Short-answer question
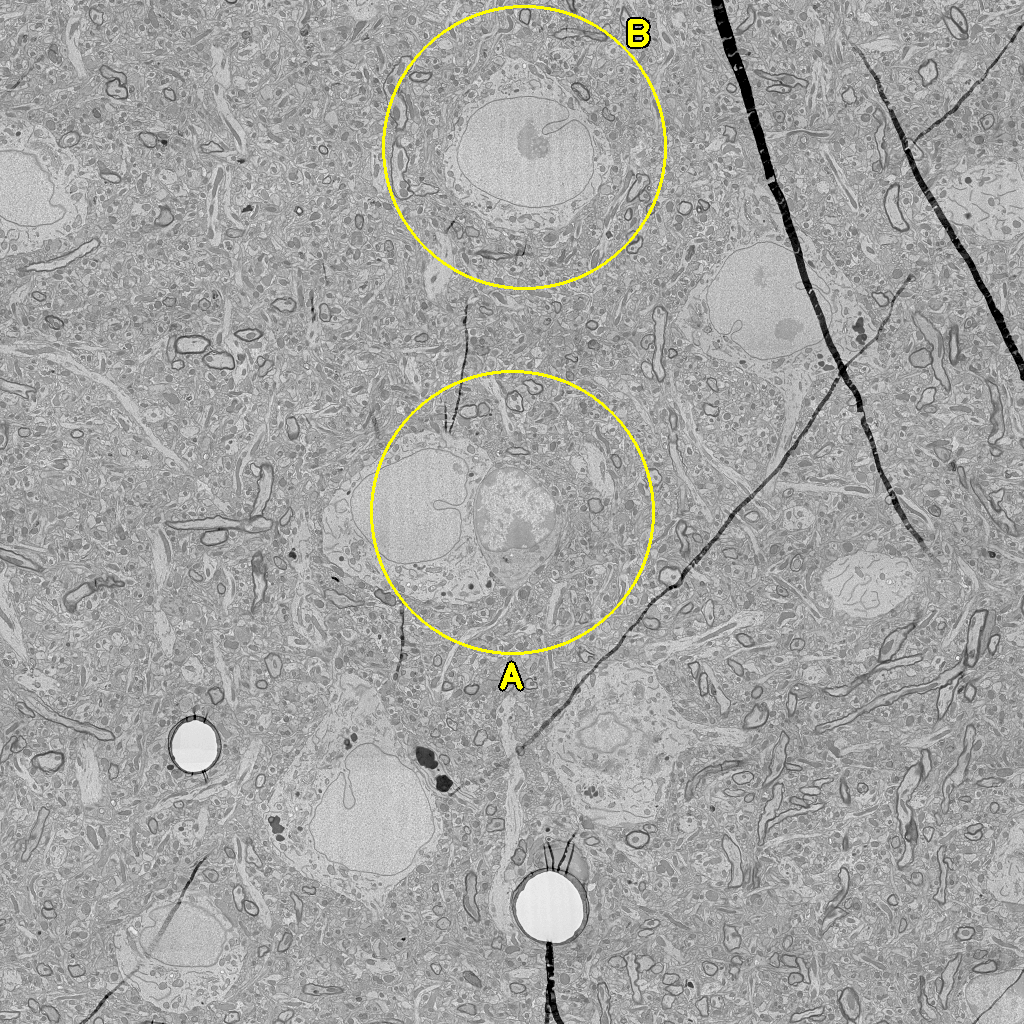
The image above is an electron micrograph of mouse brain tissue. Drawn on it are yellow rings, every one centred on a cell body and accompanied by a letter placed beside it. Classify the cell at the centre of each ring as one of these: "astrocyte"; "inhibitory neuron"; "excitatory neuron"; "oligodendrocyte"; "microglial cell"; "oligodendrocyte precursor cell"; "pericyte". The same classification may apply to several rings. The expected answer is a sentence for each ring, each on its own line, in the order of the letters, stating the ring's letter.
The cell at ring A is classified as an oligodendrocyte.
The cell at ring B is classified as an excitatory neuron.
